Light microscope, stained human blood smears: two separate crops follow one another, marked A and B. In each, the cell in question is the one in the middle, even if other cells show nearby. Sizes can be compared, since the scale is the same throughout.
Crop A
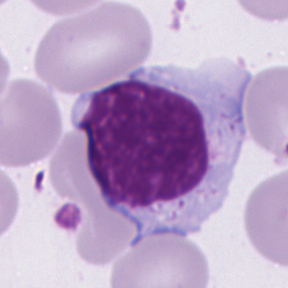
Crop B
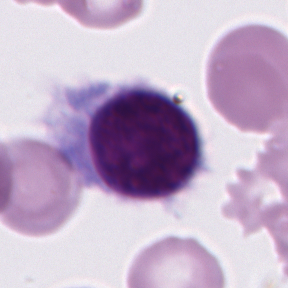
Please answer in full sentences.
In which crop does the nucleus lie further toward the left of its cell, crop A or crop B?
The nucleus in crop A lies further toward the left of its cell.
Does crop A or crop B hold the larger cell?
Crop A holds the larger cell; it covers about 2 times the area of the cell in crop B.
